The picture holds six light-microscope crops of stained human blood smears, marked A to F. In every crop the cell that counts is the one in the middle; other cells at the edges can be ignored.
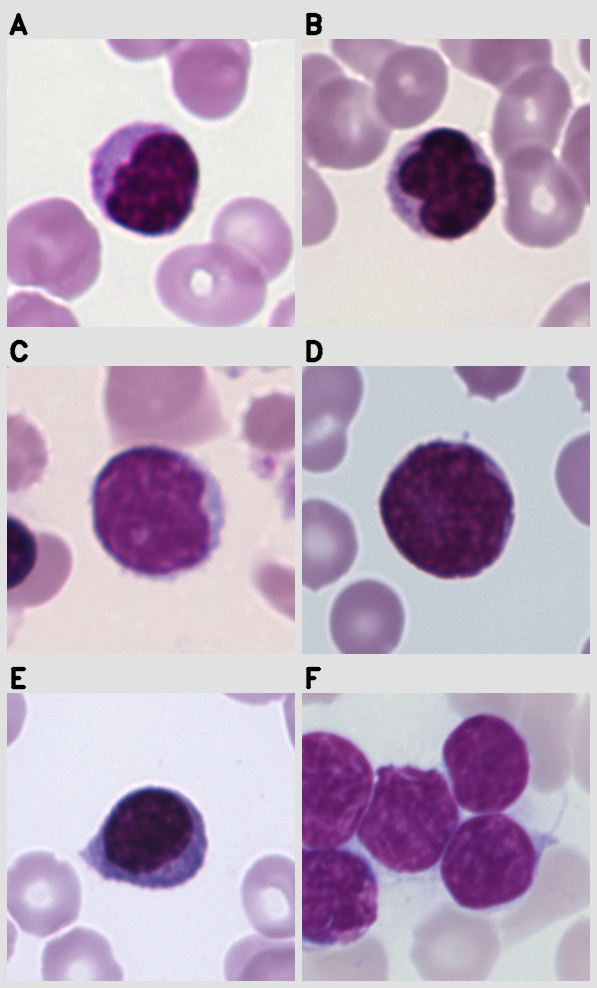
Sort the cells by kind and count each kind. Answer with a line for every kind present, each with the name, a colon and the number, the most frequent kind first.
lymphocyte: 4
blast: 2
